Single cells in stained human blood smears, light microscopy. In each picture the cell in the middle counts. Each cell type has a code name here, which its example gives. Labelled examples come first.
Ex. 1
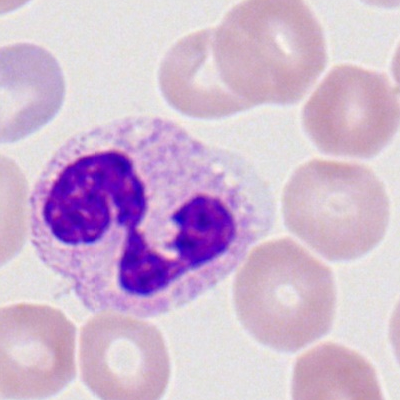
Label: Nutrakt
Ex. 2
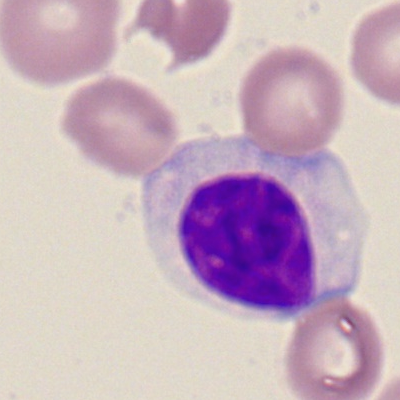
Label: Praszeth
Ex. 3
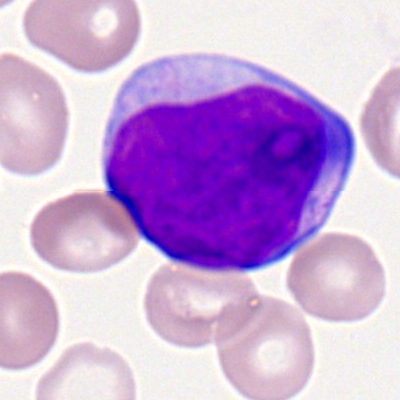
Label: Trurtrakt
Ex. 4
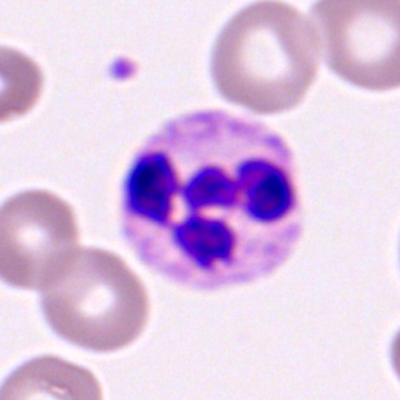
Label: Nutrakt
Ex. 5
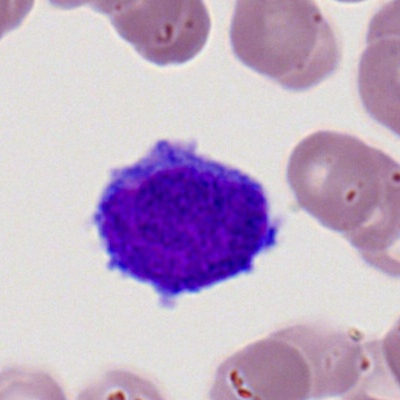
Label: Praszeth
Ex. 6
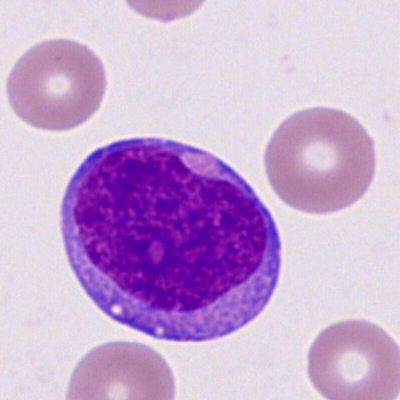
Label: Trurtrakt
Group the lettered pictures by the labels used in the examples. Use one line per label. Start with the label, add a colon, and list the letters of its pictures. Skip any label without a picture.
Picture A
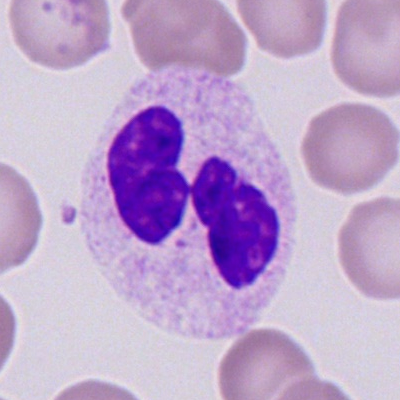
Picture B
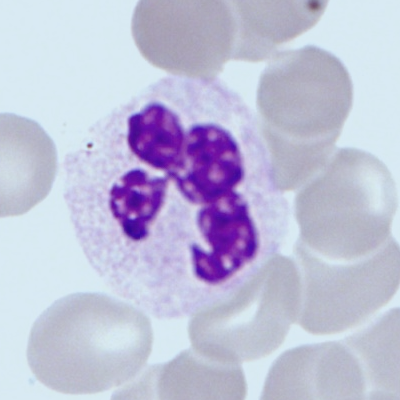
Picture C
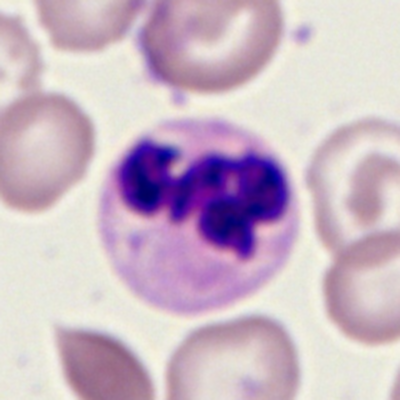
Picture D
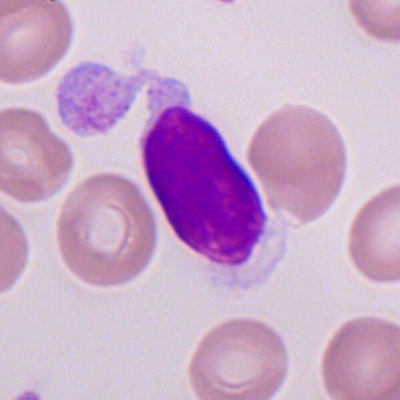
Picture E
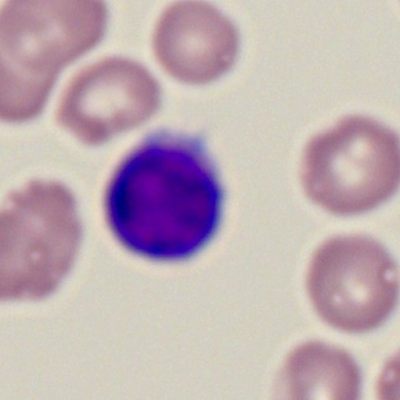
Nutrakt: A, B, C
Praszeth: D, E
